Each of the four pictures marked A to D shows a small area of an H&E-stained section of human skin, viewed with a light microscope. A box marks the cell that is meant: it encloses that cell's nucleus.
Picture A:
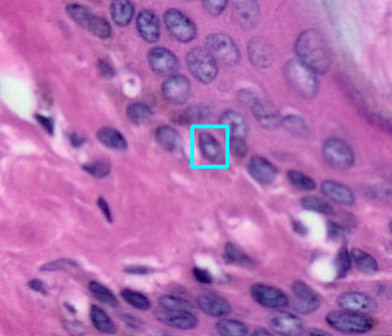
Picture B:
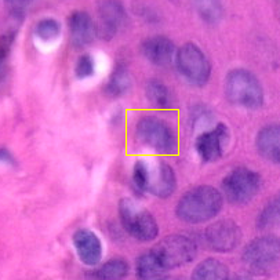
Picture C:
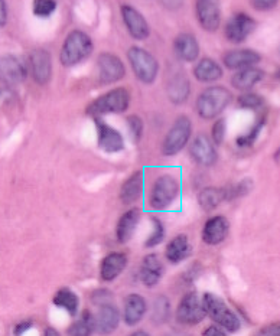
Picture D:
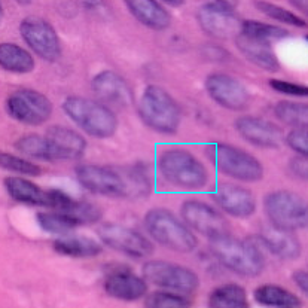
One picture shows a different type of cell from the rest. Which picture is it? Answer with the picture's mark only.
D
